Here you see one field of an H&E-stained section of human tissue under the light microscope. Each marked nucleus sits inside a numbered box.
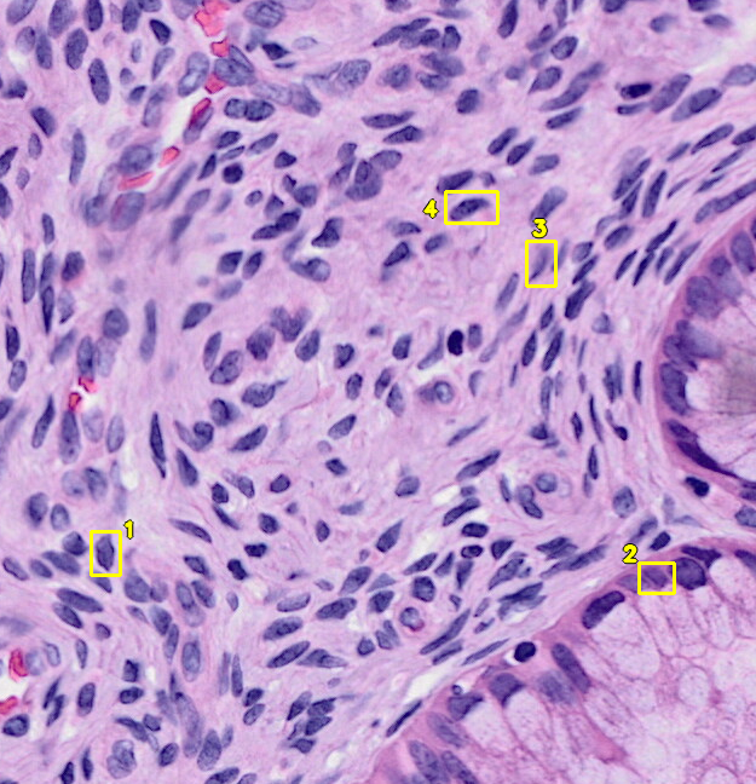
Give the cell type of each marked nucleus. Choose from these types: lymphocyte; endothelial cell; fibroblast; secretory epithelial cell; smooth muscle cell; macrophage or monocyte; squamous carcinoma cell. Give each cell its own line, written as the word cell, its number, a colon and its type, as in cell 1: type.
cell 1: fibroblast
cell 2: secretory epithelial cell
cell 3: fibroblast
cell 4: fibroblast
